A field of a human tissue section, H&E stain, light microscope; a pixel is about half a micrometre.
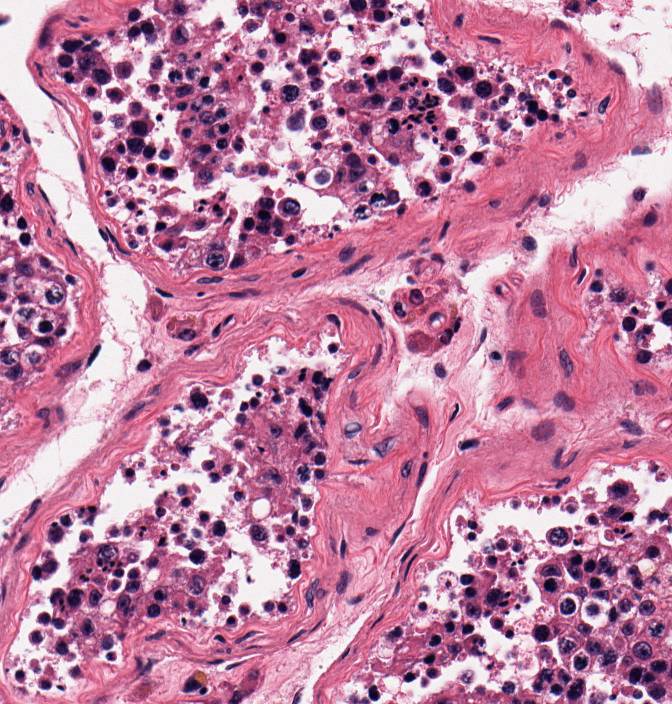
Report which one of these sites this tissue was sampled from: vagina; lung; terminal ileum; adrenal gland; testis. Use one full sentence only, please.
The human tissue in this section was sampled from the testis.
